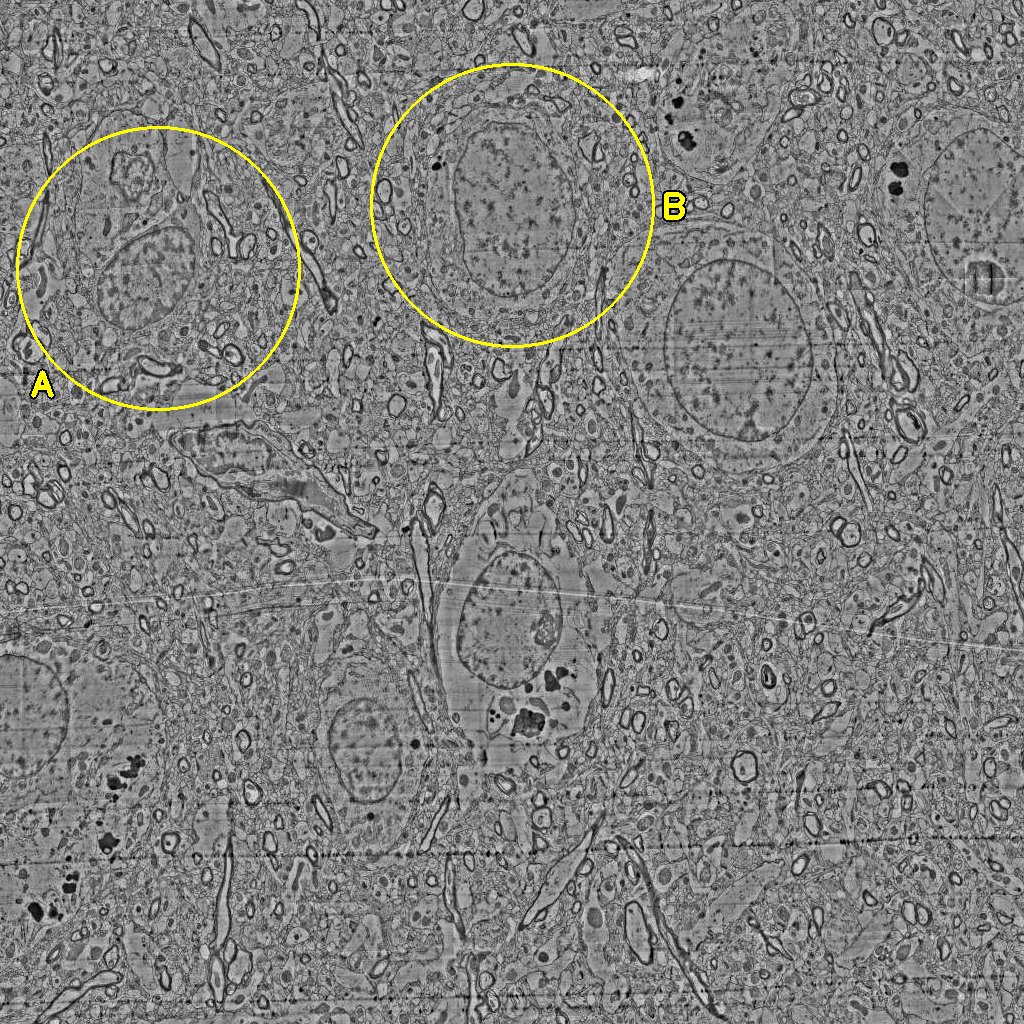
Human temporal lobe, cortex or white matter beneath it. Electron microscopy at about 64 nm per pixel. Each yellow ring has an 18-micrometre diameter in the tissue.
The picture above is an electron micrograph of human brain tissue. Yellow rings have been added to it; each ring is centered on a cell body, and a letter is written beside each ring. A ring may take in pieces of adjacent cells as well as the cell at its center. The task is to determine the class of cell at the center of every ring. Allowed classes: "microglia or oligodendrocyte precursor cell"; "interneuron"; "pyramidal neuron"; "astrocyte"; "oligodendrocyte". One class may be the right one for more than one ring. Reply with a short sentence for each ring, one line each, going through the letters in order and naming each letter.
Ring A is centered on an oligodendrocyte.
Ring B is centered on a pyramidal neuron.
